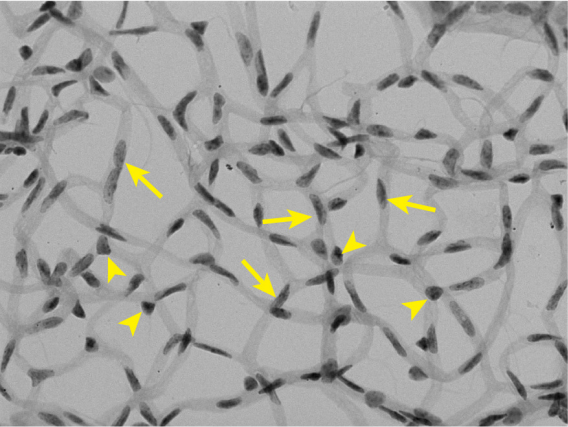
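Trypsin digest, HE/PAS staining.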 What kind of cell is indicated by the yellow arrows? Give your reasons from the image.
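Endothelial cells. The arrows point to elongated, oval nuclei lying within the pale capillary walls. These nuclei are aligned along the long axis of the vessels.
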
